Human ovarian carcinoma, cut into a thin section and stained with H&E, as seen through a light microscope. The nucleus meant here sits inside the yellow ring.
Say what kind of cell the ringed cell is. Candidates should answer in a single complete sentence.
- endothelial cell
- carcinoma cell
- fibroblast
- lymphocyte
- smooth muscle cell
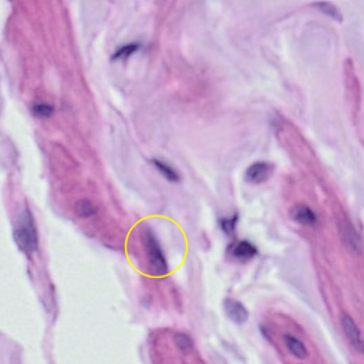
Assigned to a cell type, the ringed cell is a smooth muscle cell.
